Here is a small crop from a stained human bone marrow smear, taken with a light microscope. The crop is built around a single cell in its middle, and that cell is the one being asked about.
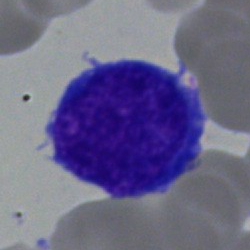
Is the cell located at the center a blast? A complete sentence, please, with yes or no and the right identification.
Yes, the cell that occupies the centre is a blast.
